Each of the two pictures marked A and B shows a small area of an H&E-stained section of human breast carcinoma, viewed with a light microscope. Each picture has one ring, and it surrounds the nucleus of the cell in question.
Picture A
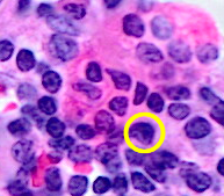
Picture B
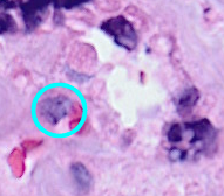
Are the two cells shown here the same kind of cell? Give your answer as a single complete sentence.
No; the cell in picture A is a lymphocyte, while the one in picture B is an endothelial cell.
